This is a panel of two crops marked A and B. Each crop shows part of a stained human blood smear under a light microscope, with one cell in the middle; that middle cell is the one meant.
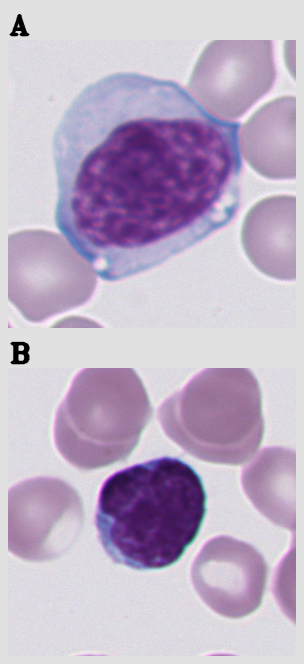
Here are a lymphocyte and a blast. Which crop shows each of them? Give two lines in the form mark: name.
A: blast
B: lymphocyte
